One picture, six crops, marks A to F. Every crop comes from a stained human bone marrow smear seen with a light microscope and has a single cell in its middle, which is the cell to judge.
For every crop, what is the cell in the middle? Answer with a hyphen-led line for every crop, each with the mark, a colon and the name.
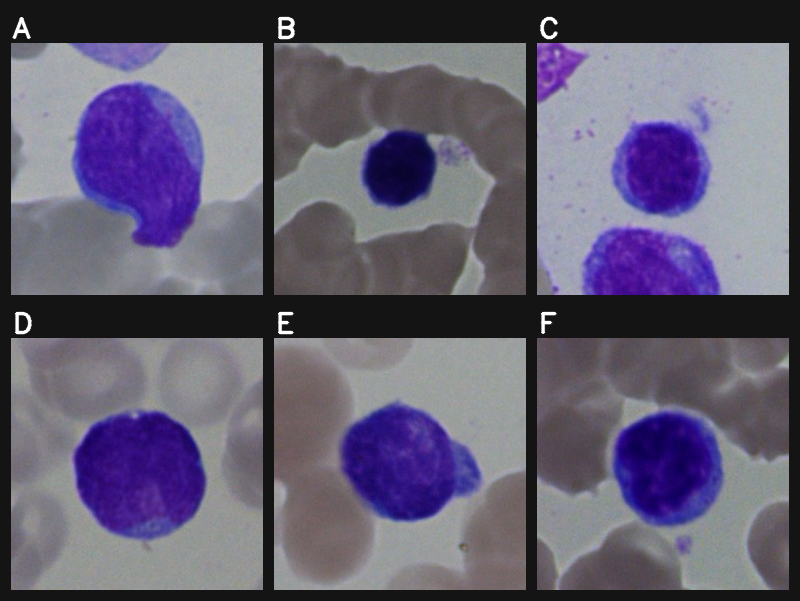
- A: blast
- B: lymphocyte
- C: lymphocyte
- D: blast
- E: blast
- F: lymphocyte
